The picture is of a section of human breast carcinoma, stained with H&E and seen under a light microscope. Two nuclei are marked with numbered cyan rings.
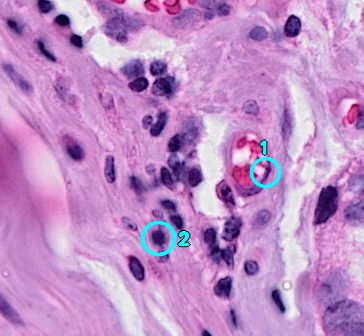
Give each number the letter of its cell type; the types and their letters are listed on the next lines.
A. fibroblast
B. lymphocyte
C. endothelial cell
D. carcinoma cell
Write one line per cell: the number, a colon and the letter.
1: C
2: B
